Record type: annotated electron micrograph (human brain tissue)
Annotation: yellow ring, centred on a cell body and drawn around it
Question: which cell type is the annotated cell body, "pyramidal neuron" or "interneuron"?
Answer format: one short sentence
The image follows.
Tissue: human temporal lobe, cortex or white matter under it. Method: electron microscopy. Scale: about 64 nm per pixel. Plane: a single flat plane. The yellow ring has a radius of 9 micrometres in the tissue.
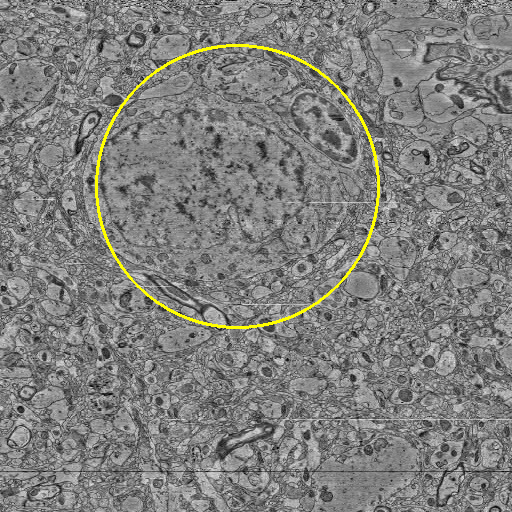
The annotated cell body is that of an interneuron.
